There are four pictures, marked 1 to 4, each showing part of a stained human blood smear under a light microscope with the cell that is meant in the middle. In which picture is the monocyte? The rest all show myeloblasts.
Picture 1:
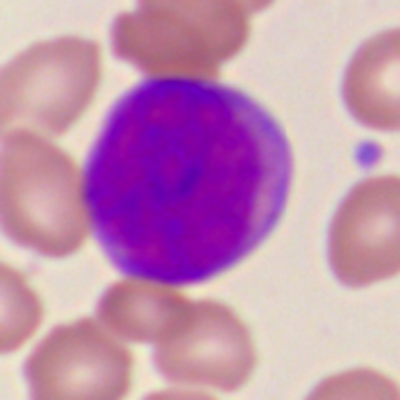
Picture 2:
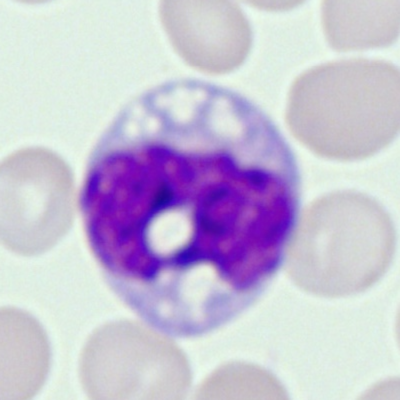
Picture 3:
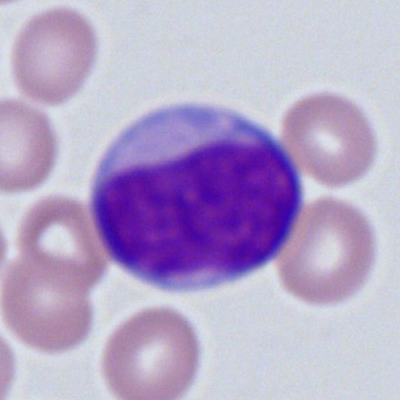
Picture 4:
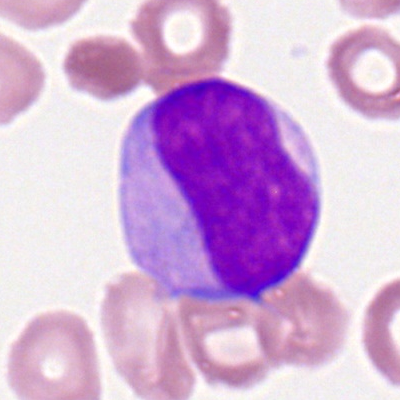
2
